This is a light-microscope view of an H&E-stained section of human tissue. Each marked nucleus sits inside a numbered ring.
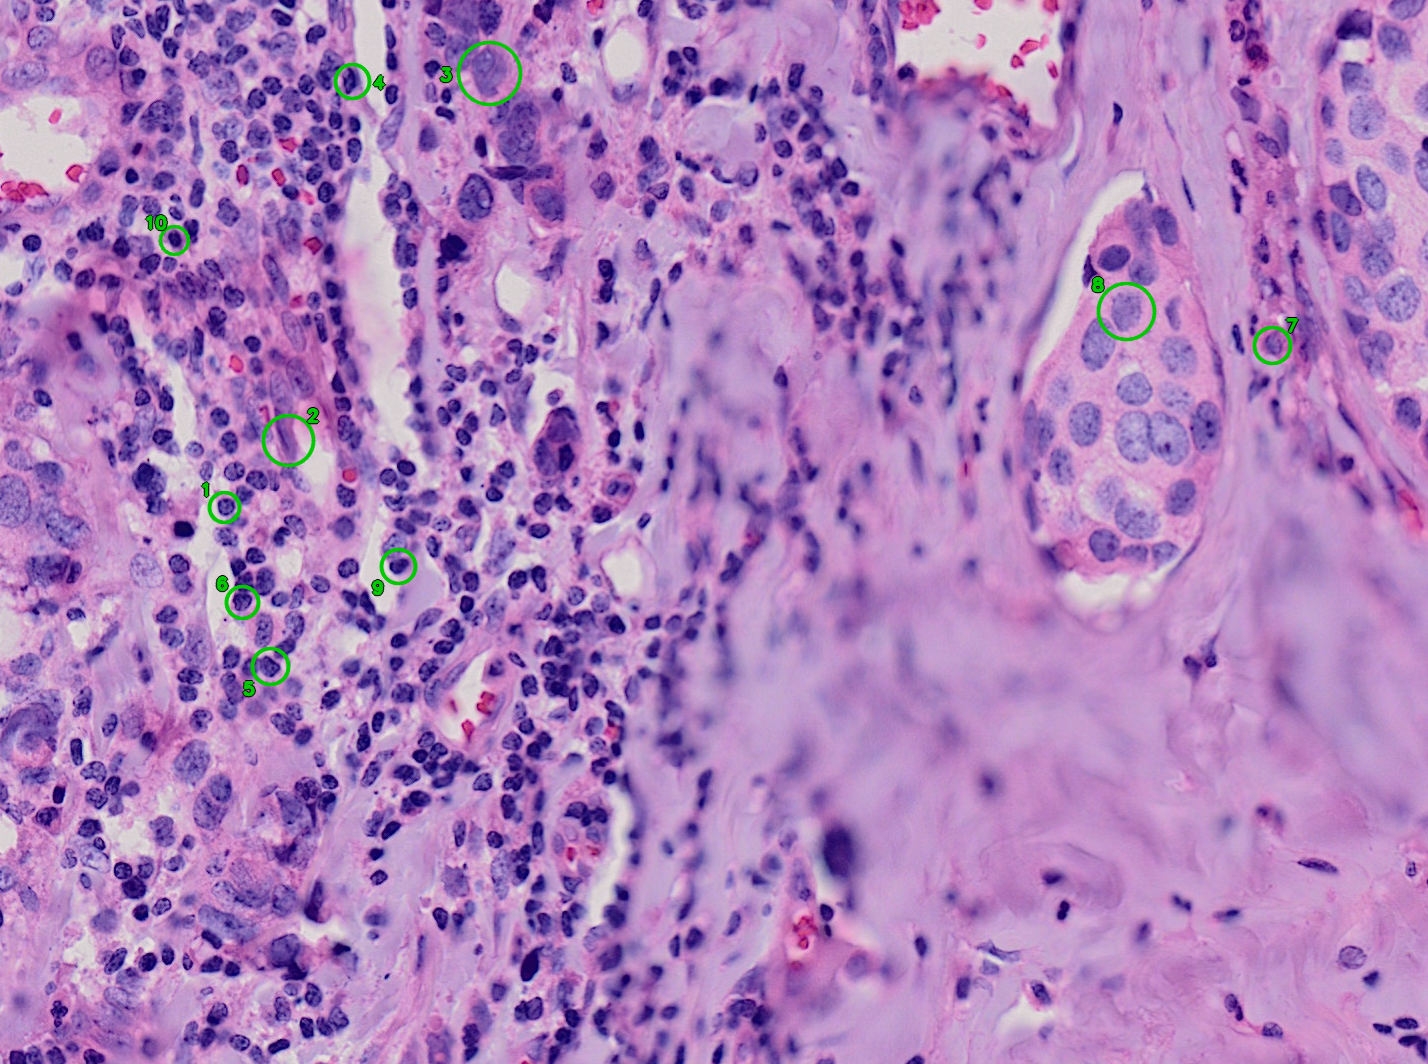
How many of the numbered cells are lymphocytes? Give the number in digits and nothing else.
6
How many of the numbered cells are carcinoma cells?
2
